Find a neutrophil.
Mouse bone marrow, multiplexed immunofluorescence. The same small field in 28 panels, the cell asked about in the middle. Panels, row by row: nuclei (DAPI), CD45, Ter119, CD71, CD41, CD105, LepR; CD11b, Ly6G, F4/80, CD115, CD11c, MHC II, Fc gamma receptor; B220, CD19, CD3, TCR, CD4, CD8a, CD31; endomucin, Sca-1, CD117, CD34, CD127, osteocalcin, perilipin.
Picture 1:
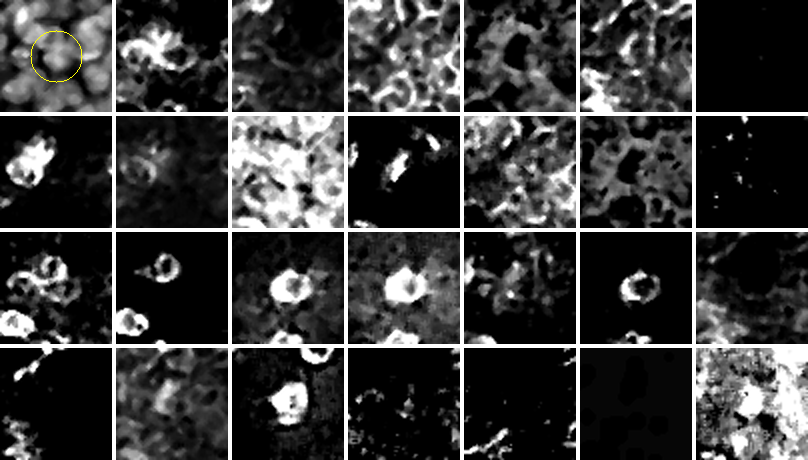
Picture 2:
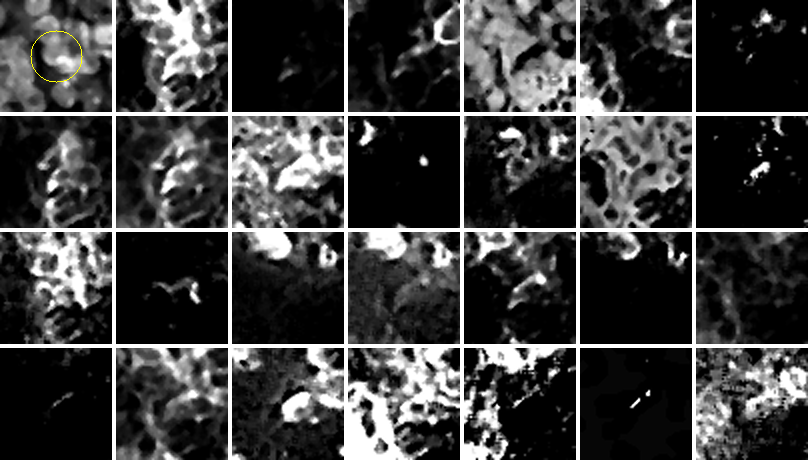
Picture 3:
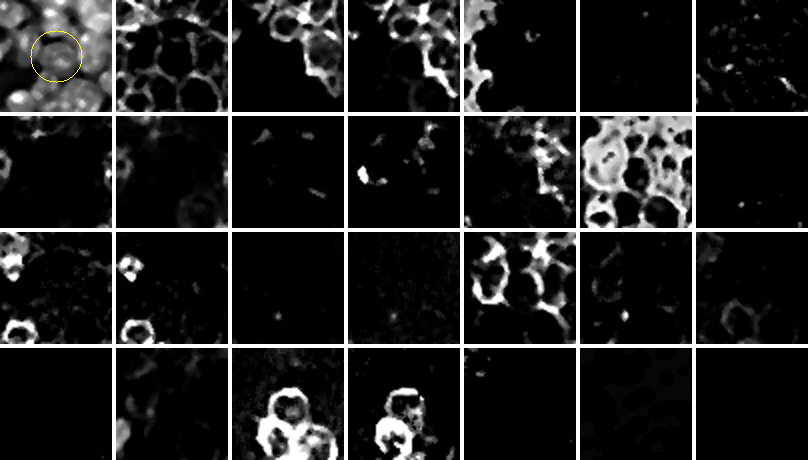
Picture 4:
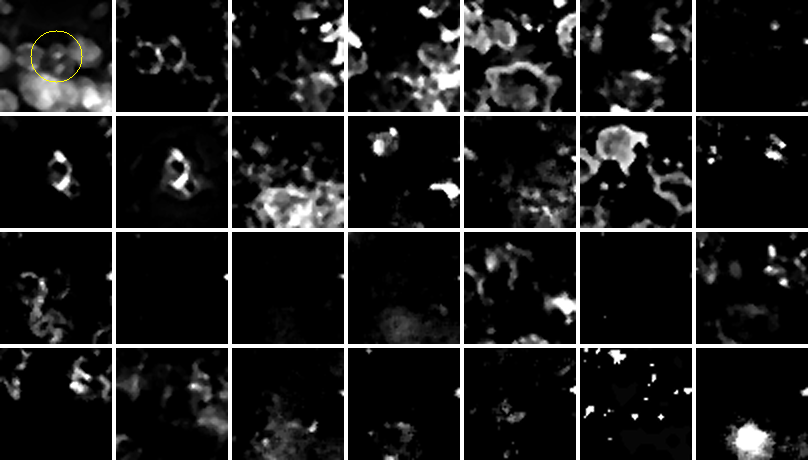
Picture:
4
